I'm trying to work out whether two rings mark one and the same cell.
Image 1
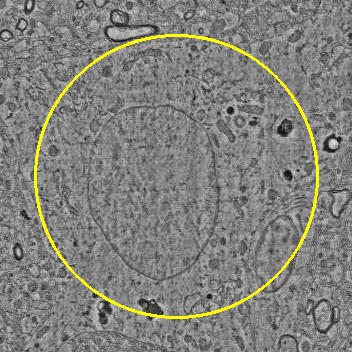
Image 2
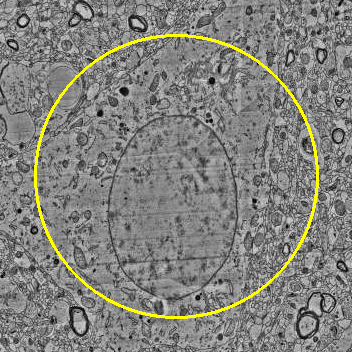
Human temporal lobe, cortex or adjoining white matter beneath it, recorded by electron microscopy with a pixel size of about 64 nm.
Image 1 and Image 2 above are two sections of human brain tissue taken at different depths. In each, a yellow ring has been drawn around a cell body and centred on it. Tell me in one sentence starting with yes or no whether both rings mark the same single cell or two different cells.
No, what the two rings mark is two different cells.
